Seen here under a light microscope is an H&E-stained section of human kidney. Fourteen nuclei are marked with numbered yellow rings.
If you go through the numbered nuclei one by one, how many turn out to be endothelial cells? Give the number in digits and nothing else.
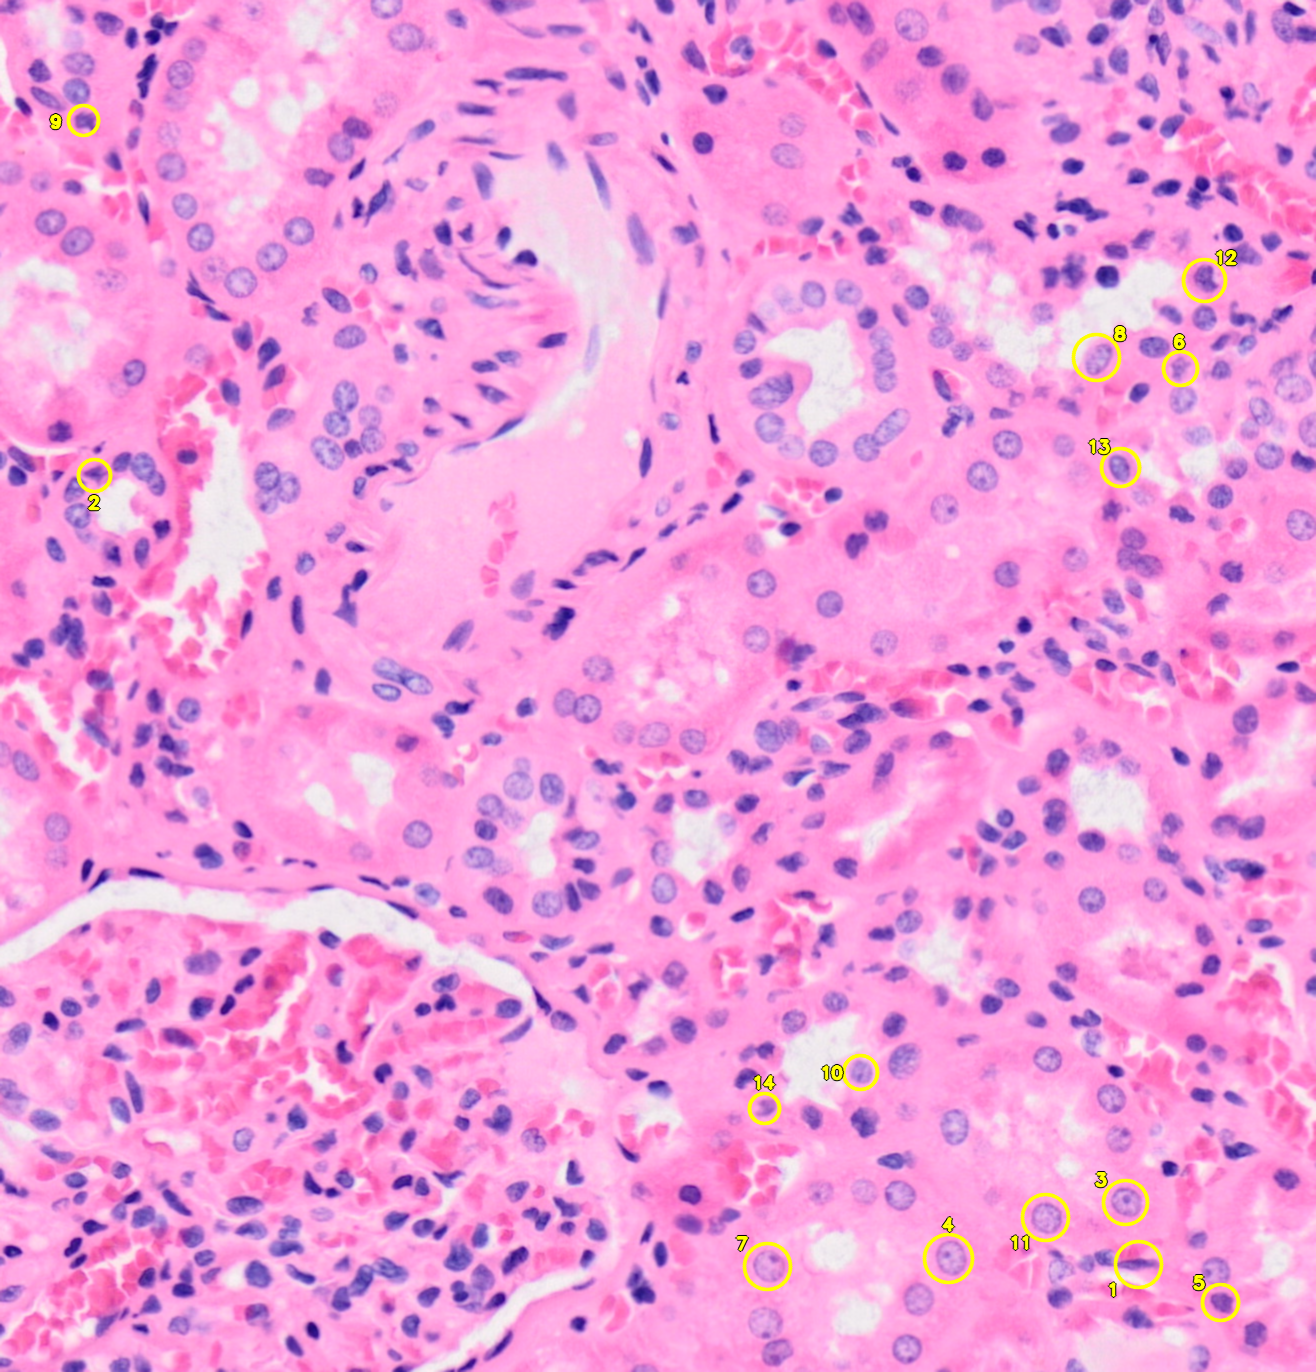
1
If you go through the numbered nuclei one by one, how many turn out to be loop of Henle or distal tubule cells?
7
